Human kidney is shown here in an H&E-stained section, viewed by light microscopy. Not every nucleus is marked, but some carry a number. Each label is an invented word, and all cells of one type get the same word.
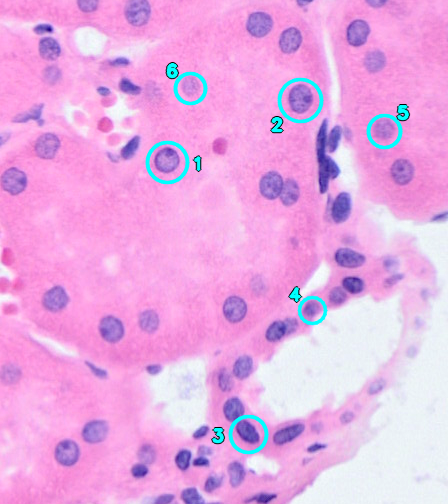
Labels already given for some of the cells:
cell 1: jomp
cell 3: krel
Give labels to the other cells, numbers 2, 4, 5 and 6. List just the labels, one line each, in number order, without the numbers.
jomp
krel
jomp
jomp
